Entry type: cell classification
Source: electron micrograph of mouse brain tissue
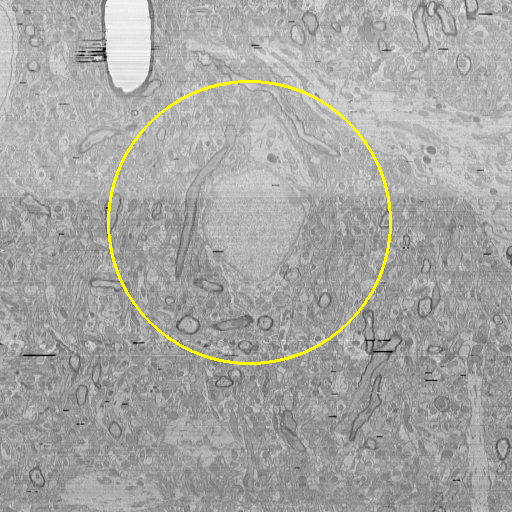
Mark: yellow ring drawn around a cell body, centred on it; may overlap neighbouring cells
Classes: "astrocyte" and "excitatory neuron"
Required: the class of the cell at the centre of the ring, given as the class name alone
astrocyte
